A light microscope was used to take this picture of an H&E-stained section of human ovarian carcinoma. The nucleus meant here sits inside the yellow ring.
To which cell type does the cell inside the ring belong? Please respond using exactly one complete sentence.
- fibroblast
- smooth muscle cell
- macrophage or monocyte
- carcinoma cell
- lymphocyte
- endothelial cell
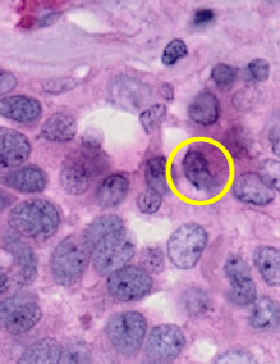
Assigned to a cell type, the cell inside the ring is a macrophage or monocyte.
